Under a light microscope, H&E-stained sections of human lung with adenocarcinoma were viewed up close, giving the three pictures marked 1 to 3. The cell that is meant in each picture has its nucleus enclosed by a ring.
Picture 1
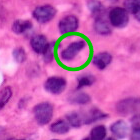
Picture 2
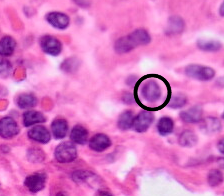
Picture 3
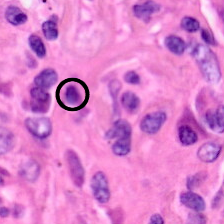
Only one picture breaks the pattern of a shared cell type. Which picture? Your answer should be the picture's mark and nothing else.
3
